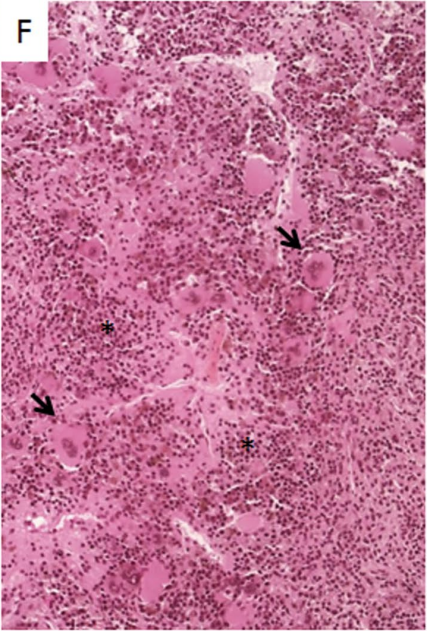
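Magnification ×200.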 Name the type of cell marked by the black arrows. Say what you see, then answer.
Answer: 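The arrows point to very large cells with abundant pink cytoplasm. These large cells have big, irregular or lobulated nuclei. Several such giant cells lie close together among small round cells.
Answer: megacaryocytes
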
